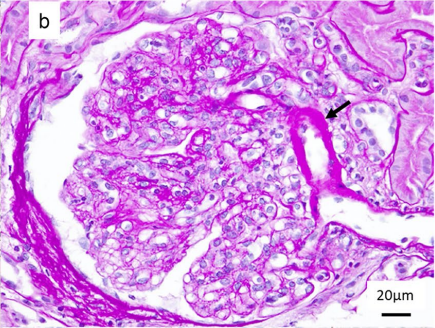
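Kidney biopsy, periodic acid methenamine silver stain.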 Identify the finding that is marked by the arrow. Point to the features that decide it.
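The arrow points to a small vessel beside the glomerulus. Its wall is thickened by homogeneous, glassy, strongly magenta material. So: arteriolar hyalinosis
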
